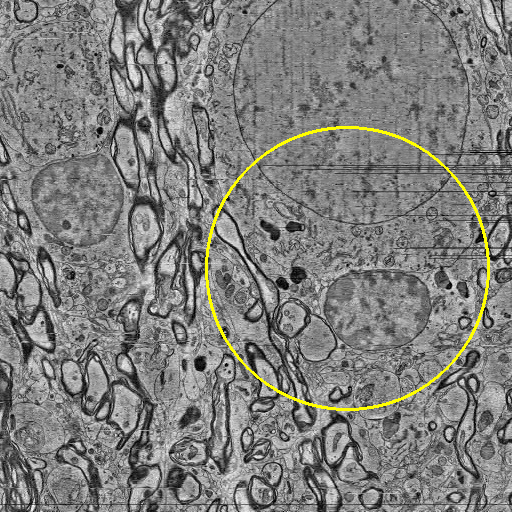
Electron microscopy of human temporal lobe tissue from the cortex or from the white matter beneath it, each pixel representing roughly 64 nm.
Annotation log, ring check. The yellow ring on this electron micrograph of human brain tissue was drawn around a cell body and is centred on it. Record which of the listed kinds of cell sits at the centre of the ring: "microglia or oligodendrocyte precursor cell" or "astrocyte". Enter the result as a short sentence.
The cell at the centre of the ring is a microglial cell or oligodendrocyte precursor cell.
